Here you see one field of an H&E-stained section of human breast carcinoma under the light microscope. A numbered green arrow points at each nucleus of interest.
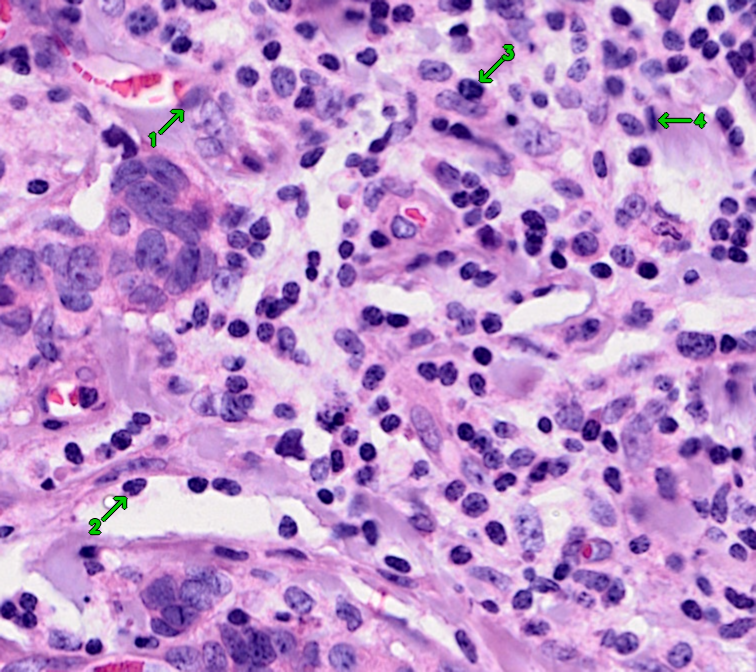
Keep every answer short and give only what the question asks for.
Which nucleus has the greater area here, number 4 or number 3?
3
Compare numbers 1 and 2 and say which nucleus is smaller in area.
2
